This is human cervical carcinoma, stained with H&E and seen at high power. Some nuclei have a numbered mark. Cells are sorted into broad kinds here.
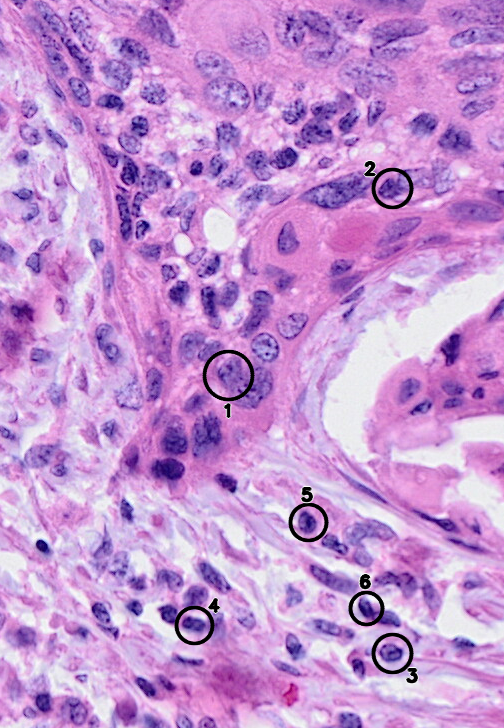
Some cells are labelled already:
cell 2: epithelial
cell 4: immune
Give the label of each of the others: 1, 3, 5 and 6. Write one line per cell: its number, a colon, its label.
1: epithelial
3: immune
5: immune
6: immune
